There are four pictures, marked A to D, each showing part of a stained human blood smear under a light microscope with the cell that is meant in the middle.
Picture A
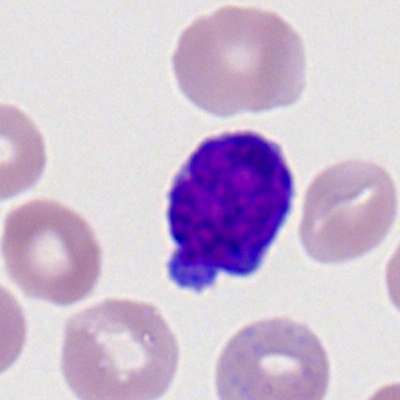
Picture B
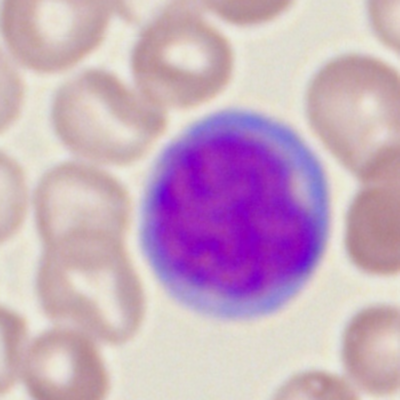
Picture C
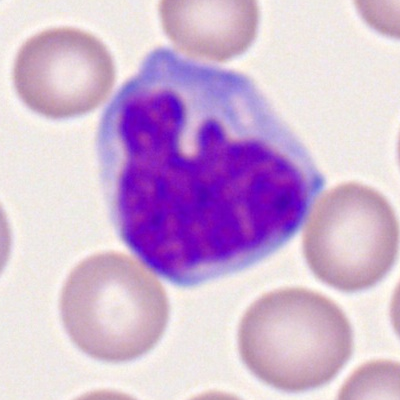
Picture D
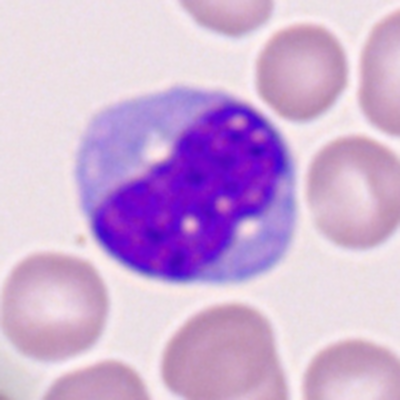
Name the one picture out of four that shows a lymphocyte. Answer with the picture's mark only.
A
